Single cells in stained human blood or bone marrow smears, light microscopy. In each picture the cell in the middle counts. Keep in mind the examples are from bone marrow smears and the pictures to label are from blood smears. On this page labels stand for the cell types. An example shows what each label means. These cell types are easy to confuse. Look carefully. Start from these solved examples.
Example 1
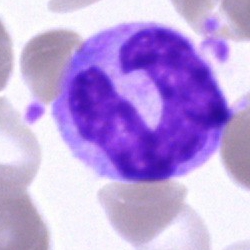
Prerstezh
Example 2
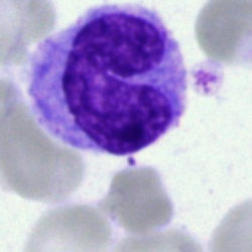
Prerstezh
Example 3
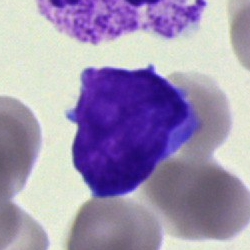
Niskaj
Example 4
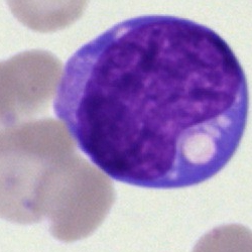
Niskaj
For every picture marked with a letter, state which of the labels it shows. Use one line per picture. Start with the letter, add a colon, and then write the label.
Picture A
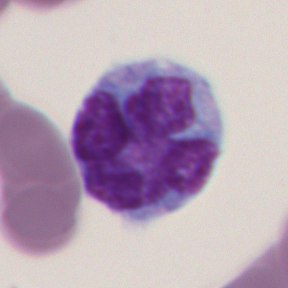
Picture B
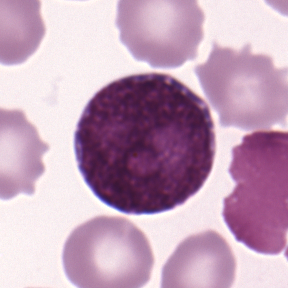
A: Prerstezh
B: Niskaj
